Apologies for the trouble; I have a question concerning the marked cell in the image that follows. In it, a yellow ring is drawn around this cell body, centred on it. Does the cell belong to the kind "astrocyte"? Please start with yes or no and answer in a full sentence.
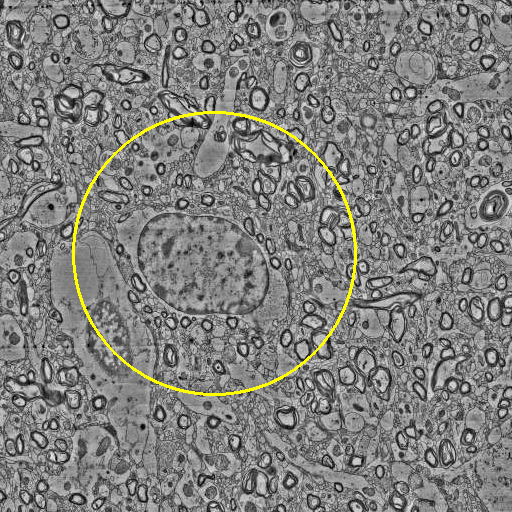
No, the ringed cell in the picture is of a different kind.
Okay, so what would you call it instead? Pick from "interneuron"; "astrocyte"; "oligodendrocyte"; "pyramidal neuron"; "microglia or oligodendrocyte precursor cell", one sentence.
It is a microglial cell or oligodendrocyte precursor cell at the centre of the ring.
